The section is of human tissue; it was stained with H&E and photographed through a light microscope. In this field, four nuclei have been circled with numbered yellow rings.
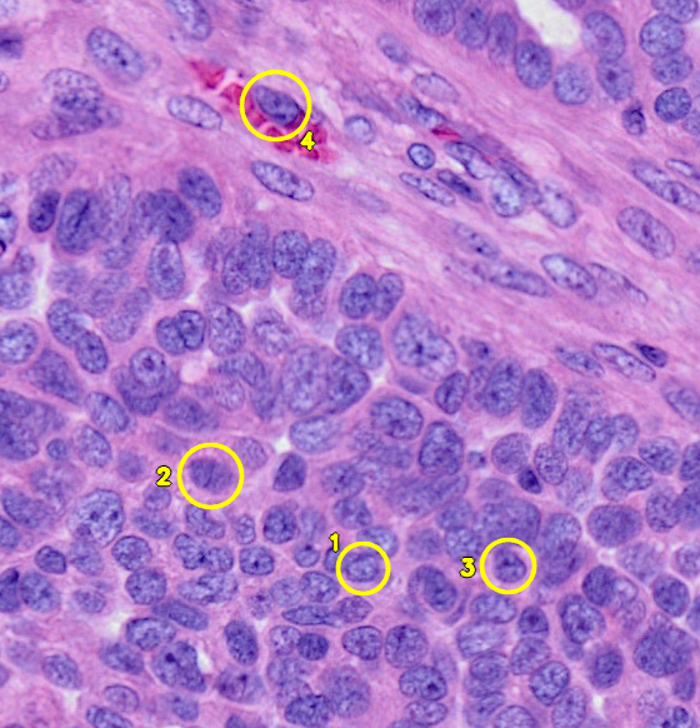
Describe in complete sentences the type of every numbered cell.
Cells 1 and 2 are carcinoma cells. Cell 3 is a macrophage or monocyte. Cell 4 is an endothelial cell.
